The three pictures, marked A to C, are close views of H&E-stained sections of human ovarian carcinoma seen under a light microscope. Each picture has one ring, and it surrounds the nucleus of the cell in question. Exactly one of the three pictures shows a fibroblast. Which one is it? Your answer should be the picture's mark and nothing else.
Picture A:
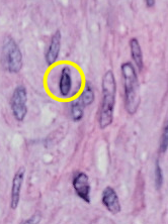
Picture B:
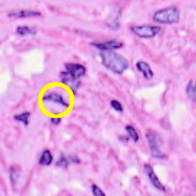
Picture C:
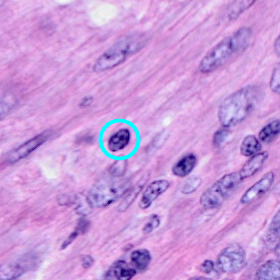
B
